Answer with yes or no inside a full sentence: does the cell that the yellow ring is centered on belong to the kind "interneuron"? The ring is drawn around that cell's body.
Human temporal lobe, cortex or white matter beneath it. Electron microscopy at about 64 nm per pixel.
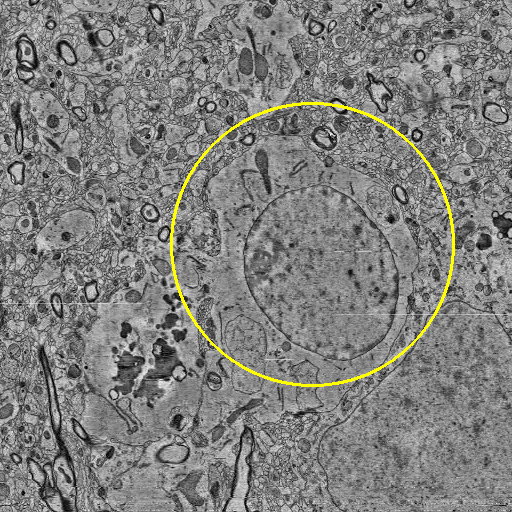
No, another kind describes the cell the yellow ring is centered on in the picture.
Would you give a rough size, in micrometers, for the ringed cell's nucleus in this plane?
In this plane the nucleus measures roughly 12 by 10 micrometres.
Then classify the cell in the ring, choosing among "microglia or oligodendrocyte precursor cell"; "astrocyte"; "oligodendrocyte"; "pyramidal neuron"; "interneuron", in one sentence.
The cell this ring marks is an astrocyte.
